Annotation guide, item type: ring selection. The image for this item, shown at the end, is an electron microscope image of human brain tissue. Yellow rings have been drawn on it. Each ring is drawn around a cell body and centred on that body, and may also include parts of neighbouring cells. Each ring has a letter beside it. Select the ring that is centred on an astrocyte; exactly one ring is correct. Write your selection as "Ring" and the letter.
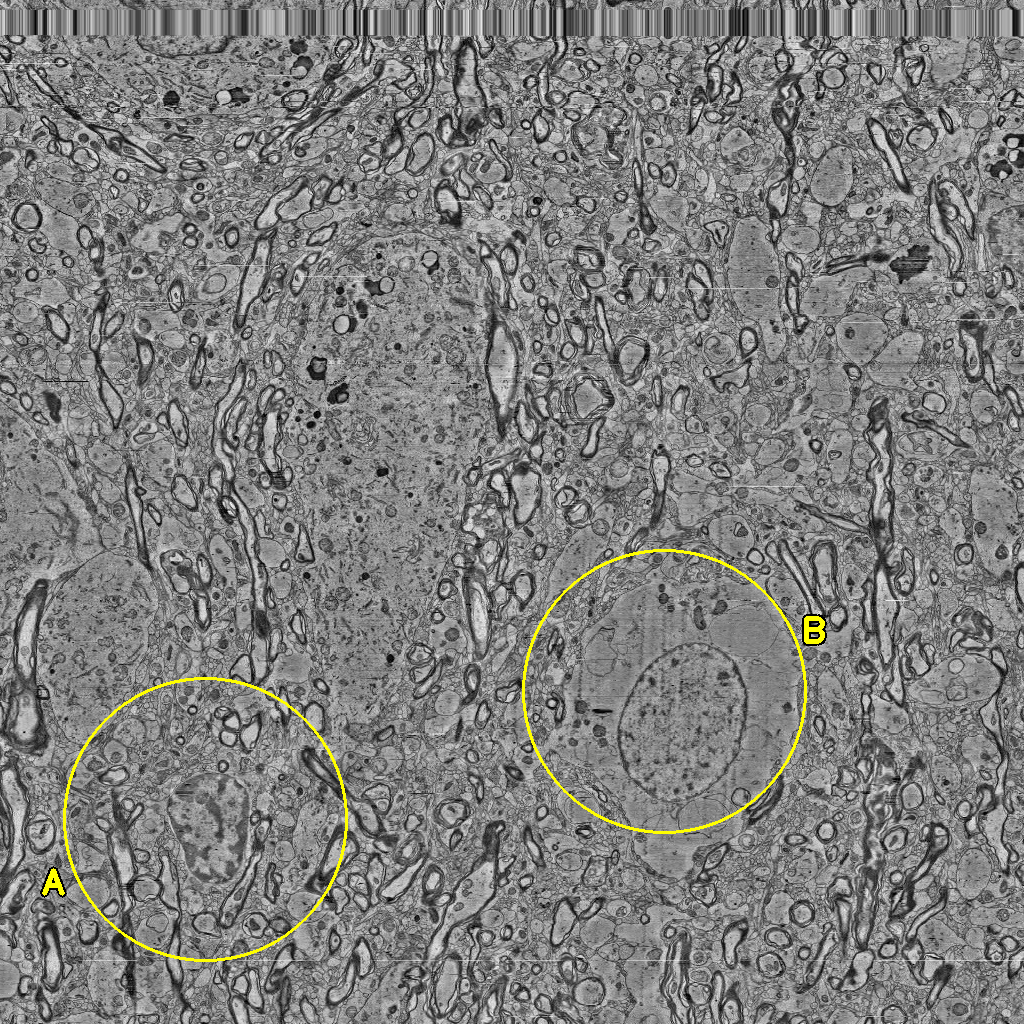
Ring B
